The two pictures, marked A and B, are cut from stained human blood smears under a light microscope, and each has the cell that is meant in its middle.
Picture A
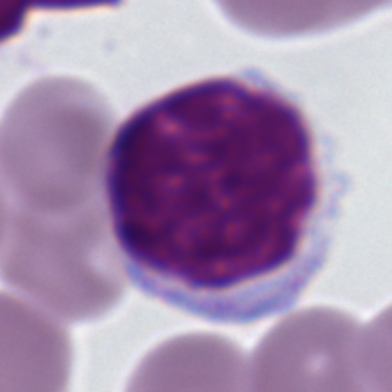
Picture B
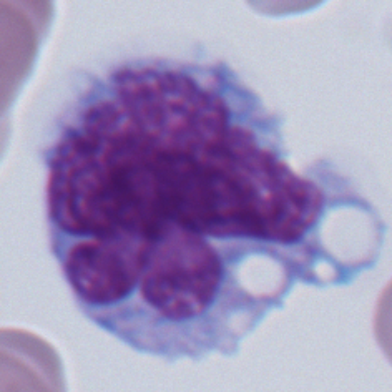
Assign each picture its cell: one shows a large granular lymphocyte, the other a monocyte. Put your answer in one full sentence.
Picture A is of a large granular lymphocyte, and picture B is of a monocyte.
